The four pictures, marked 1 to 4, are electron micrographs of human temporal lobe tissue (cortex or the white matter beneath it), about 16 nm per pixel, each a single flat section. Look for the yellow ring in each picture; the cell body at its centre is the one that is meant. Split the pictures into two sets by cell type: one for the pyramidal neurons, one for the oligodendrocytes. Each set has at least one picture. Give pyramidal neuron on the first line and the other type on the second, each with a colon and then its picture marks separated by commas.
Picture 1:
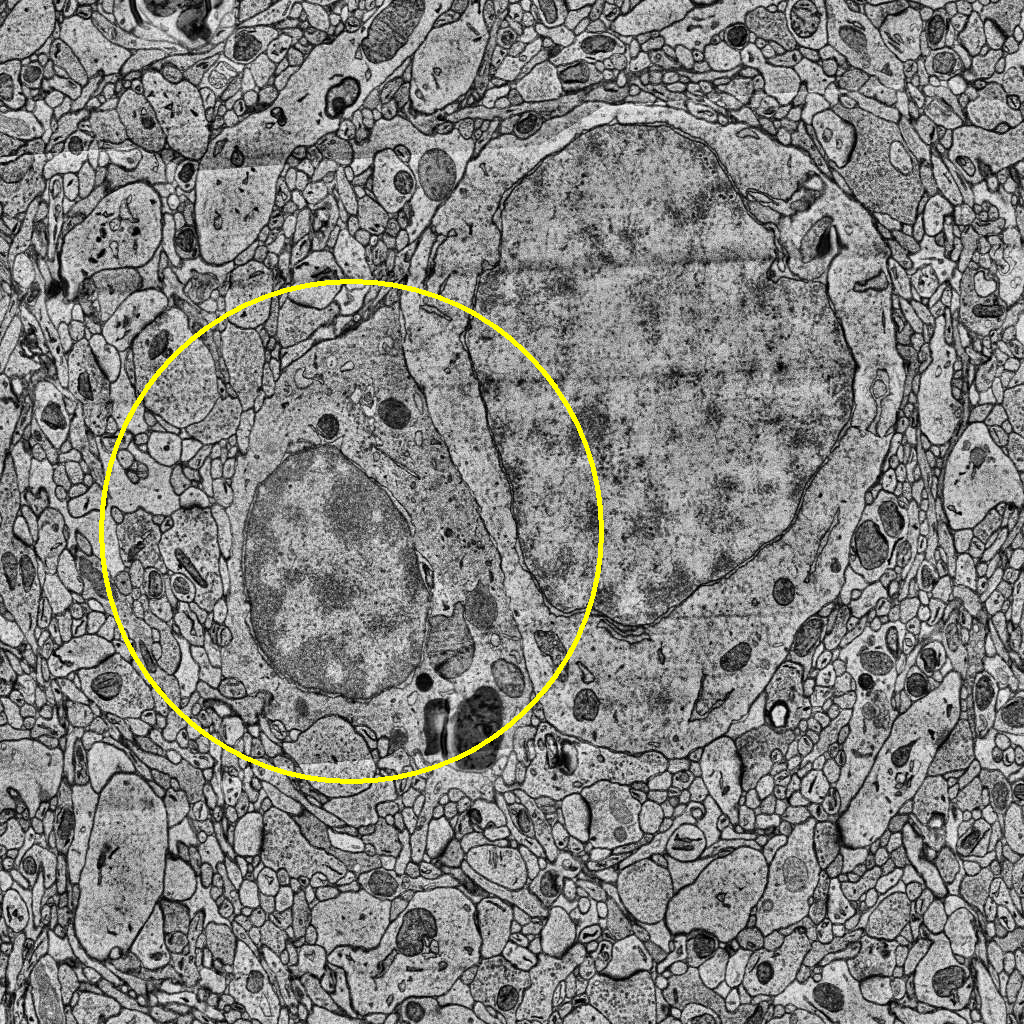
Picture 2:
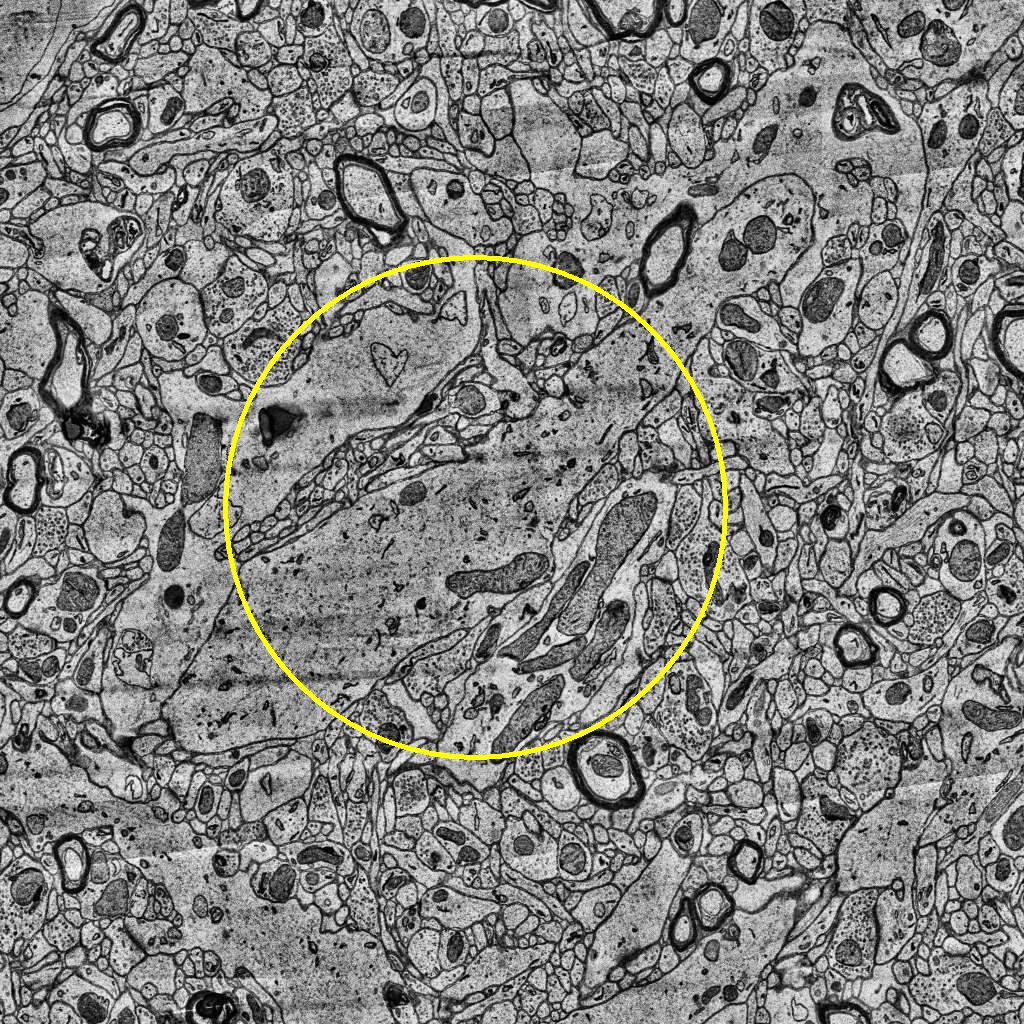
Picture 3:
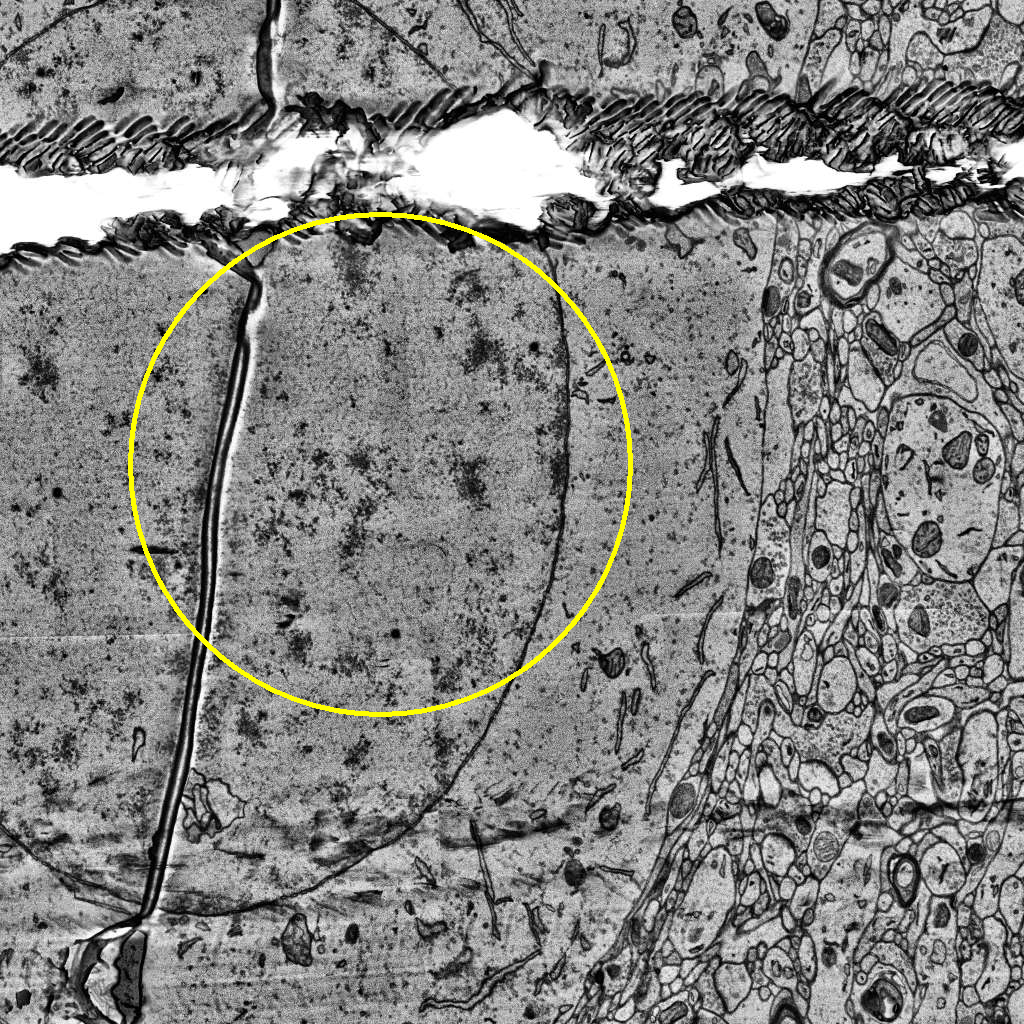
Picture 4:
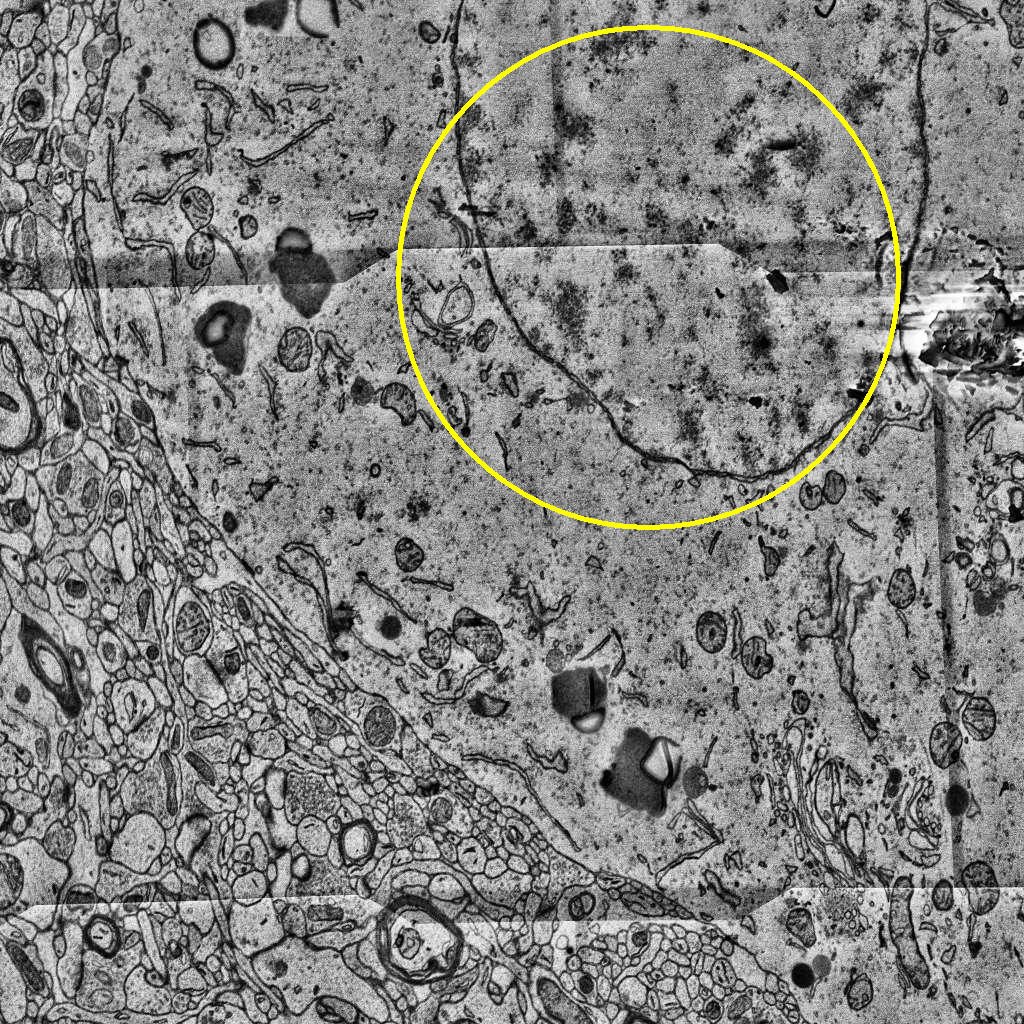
pyramidal neuron: 3, 4
oligodendrocyte: 1, 2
